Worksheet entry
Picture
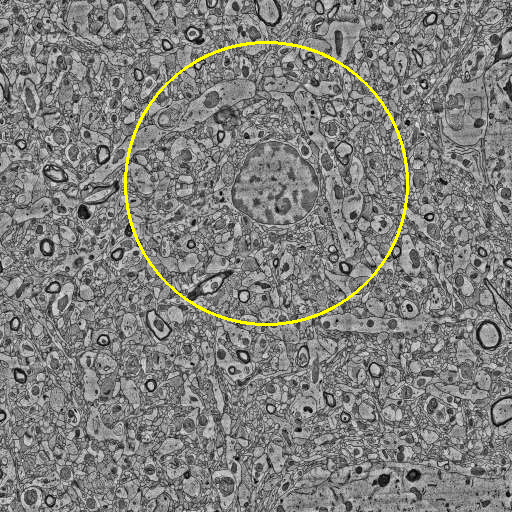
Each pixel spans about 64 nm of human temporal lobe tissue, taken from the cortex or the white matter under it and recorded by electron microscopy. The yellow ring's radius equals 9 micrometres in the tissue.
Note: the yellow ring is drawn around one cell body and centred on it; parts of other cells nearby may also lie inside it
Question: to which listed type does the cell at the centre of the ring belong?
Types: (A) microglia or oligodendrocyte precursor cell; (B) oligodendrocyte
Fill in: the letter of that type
A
